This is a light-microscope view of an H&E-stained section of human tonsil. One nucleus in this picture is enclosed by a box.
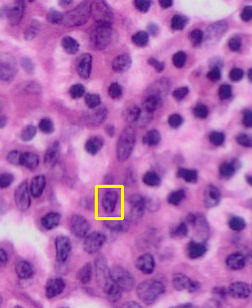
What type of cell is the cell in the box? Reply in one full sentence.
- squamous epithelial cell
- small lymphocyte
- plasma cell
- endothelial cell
Cell type answer for this item: the cell in the box is a plasma cell.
